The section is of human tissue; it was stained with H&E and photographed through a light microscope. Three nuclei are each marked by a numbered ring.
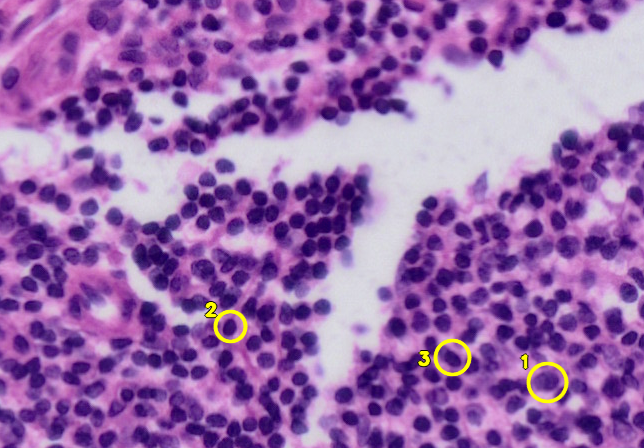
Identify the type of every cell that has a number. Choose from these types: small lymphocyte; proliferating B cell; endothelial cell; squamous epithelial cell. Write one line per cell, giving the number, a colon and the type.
1: proliferating B cell
2: small lymphocyte
3: small lymphocyte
